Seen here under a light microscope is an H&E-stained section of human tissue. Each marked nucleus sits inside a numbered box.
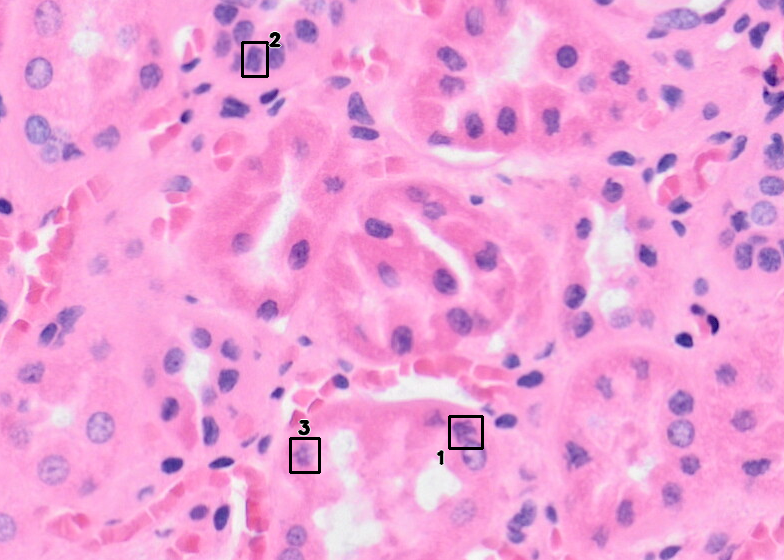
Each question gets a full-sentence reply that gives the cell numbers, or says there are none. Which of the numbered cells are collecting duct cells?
In short, cell 2 is a collecting duct cell; the others are not.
